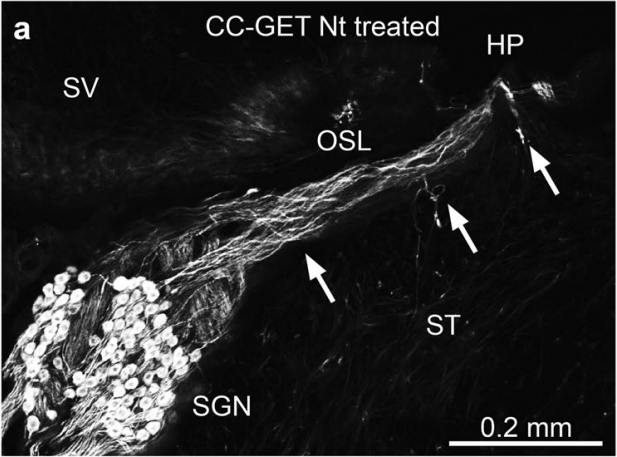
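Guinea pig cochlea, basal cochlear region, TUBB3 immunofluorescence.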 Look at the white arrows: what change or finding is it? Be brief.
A: Ectopic growth.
